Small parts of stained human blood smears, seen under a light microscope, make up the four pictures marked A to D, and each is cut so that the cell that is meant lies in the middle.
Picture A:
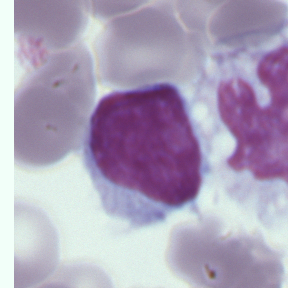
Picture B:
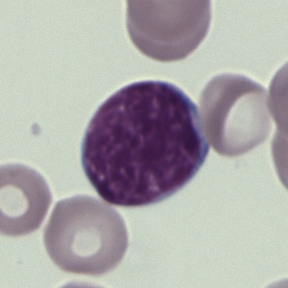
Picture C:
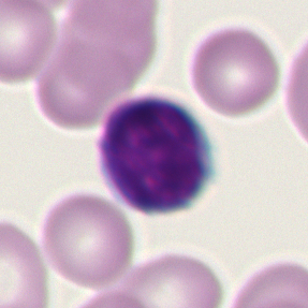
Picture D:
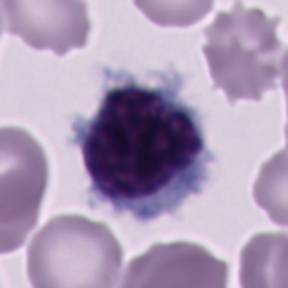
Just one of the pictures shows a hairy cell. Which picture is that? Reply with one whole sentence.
Picture D shows the hairy cell.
